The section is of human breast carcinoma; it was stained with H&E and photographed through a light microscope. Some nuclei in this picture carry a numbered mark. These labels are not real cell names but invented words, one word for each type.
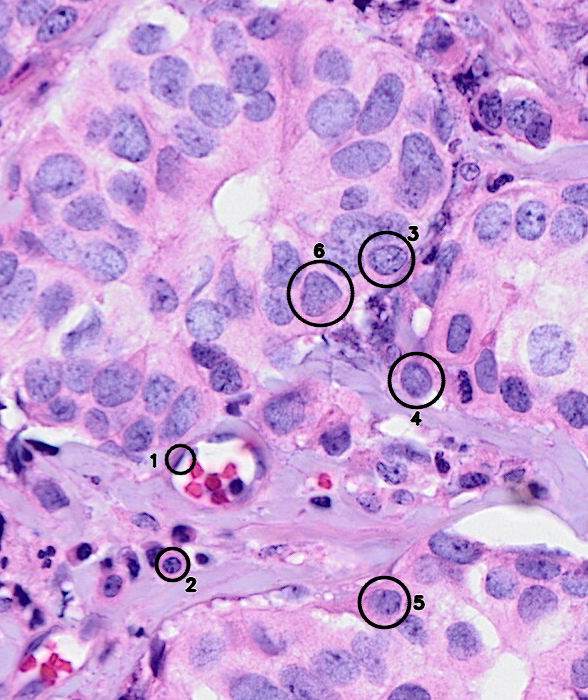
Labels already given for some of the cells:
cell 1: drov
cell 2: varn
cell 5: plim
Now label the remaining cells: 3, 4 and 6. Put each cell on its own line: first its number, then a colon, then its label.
3: plim
4: plim
6: plim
